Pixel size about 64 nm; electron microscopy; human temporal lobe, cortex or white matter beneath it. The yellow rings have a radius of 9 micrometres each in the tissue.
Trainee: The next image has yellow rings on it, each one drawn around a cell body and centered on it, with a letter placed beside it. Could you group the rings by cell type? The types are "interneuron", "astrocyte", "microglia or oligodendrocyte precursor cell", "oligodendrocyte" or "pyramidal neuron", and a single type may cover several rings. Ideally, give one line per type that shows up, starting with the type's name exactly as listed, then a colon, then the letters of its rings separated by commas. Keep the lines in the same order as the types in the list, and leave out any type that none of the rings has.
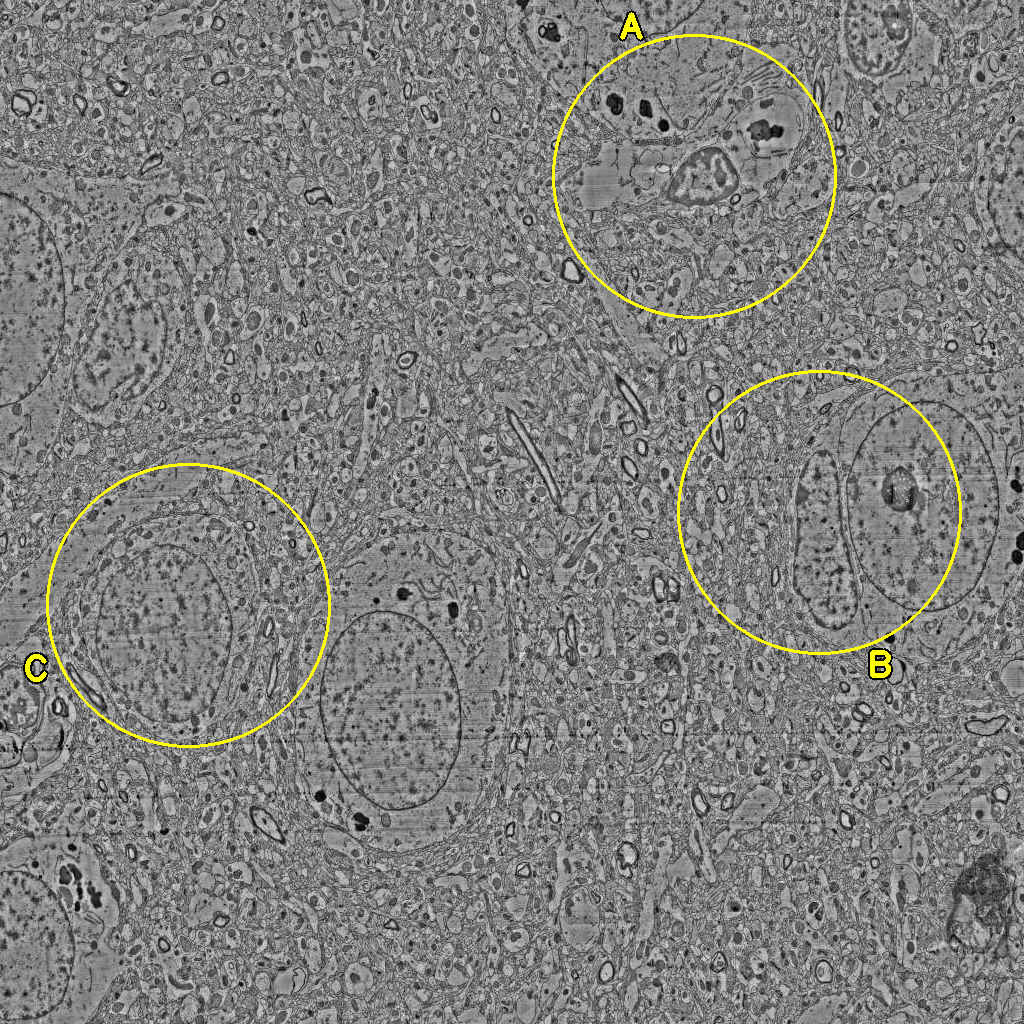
interneuron: C
microglia or oligodendrocyte precursor cell: A, B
